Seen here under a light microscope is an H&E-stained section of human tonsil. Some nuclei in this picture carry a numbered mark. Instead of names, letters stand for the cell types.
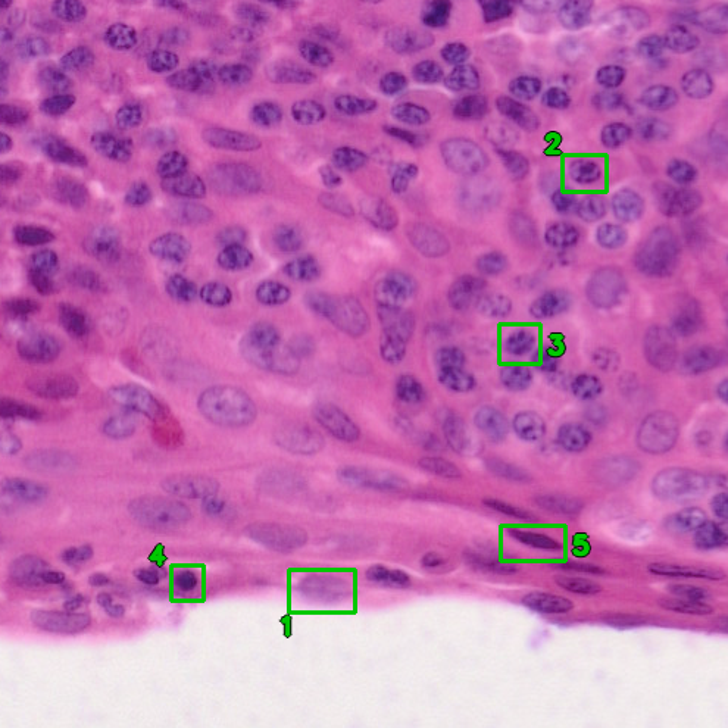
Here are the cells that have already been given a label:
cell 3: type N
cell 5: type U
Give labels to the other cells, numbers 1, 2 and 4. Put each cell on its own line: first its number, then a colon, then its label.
1: type U
2: type N
4: type U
